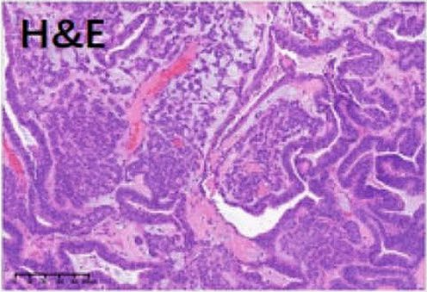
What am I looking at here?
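This tumour tissue shows crowded, winding tubular glands lined by columnar epithelial cells with dark purple nuclei, set beside broad solid nests of tightly packed cells. Between glands and nests run pink strands of stroma and a few vessels filled with red blood cells. The solid nests lack lumens and form sheets and cords, unlike the open glandular component.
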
